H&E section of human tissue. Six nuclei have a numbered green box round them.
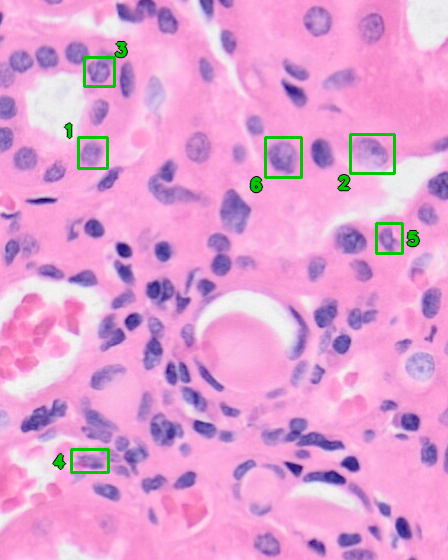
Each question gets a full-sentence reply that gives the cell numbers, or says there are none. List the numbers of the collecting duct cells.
Here, the cells that carry numbers 1 and 3 are collecting duct cells.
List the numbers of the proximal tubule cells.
No representatives of proximal tubule cells are found among the numbered cells.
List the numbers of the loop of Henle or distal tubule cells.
The cells to which the numbers 2, 5 and 6 refer are loop of Henle or distal tubule cells.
